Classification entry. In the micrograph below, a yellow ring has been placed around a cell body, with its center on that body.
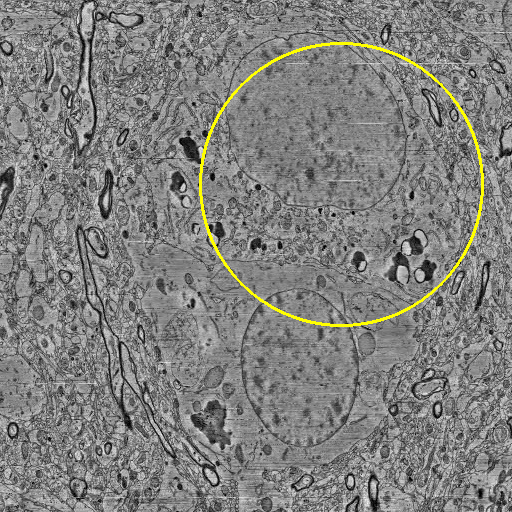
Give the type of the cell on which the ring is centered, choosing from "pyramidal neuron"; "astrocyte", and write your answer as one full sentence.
The cell body at the center of the yellow ring belongs to a pyramidal neuron.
